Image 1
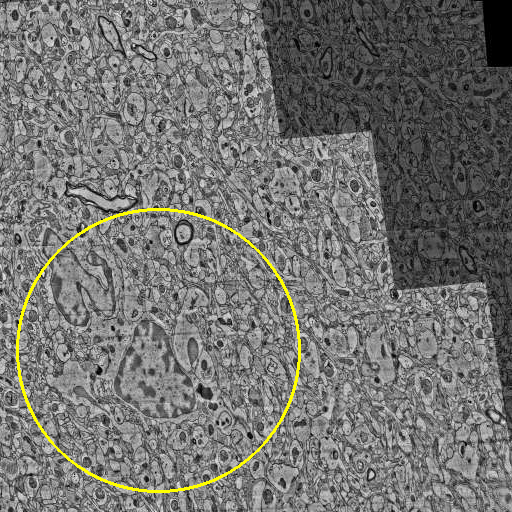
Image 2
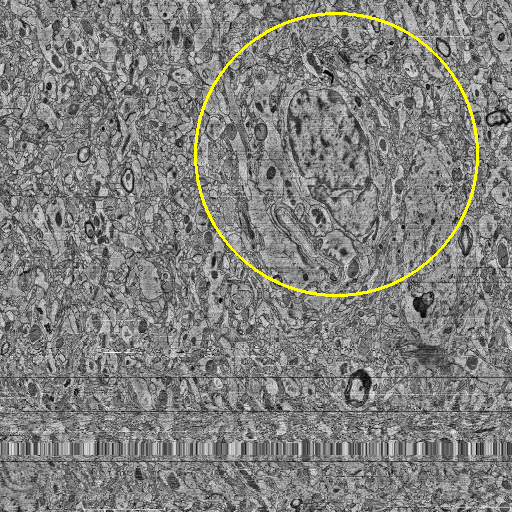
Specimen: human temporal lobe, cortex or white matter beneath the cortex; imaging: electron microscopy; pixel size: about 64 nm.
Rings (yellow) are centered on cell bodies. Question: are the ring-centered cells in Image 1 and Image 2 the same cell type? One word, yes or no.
yes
